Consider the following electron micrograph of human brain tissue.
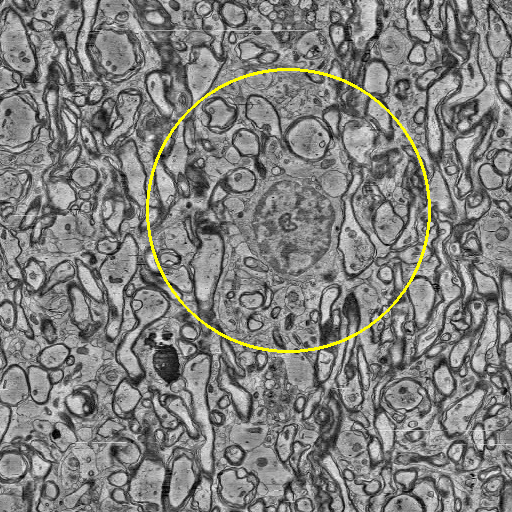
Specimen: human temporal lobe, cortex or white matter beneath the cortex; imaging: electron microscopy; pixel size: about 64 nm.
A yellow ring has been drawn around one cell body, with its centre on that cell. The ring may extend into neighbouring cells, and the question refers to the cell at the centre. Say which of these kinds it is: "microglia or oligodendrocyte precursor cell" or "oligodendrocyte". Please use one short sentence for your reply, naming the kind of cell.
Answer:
The centre of the ring falls on an oligodendrocyte.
